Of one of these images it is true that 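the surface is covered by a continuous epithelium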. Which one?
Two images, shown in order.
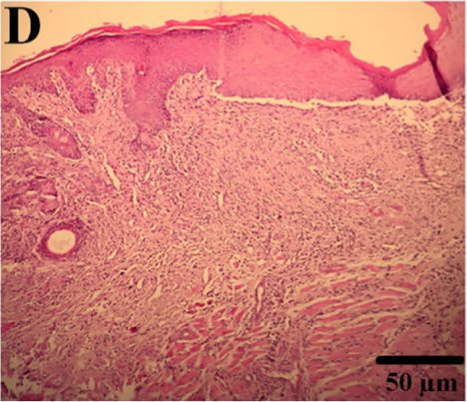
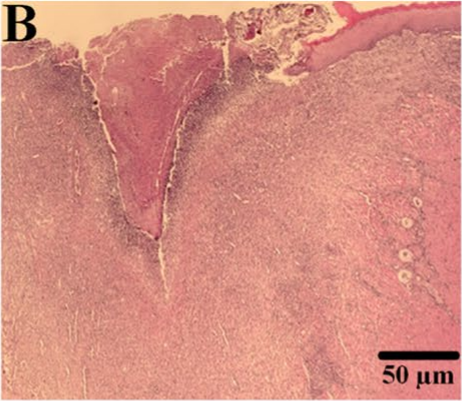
the first image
